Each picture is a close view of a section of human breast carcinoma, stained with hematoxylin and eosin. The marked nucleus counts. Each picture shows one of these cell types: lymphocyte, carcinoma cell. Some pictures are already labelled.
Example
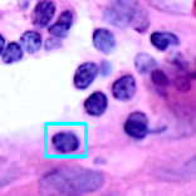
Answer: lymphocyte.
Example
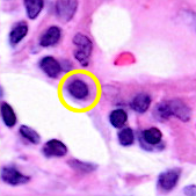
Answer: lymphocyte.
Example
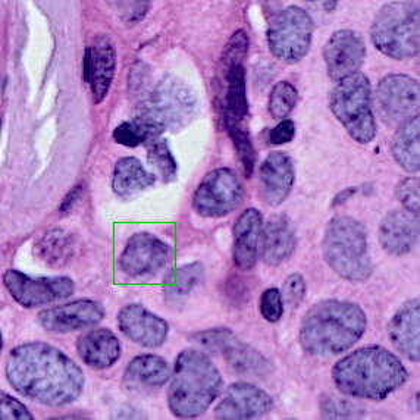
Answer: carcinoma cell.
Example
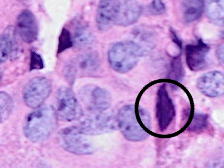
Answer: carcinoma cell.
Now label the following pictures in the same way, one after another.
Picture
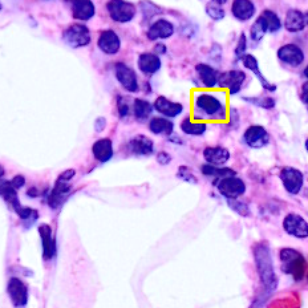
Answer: lymphocyte.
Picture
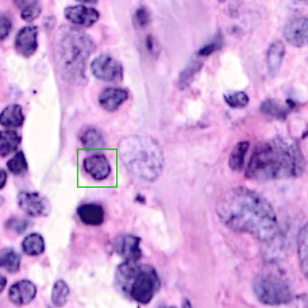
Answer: lymphocyte.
